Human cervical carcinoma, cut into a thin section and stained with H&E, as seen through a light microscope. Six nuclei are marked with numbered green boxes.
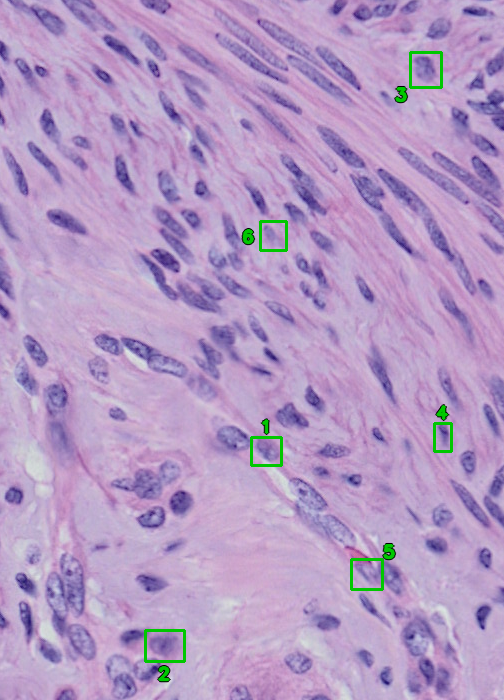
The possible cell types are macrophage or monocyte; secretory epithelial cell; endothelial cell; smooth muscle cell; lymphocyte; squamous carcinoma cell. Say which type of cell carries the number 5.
endothelial cell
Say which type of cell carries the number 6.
smooth muscle cell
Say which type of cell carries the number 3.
smooth muscle cell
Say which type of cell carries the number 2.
endothelial cell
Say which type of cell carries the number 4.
smooth muscle cell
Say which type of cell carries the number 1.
endothelial cell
